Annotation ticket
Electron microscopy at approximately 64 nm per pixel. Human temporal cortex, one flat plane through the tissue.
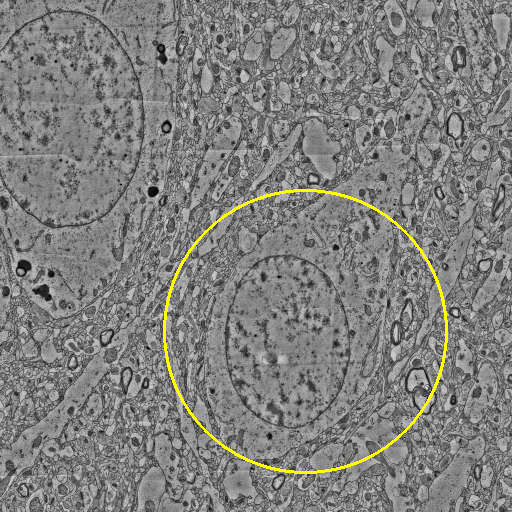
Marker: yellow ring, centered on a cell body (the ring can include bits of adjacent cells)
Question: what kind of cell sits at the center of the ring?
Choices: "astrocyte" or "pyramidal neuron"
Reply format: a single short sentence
The ring is centered on a pyramidal neuron.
